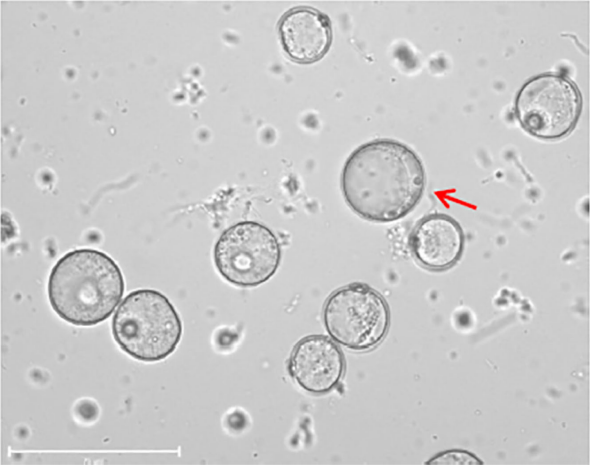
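These are isolated microspores, free round cells lying singly or touching in pairs, seen unstained. Each has a thick, smooth, sharply outlined wall. Several are large with a wide, pale, largely clear interior, and in some of them a small dark round body sits against the wall at one side. Others have more granular cytoplasm or a bright central spot. Cells vary in size, the larger ones appearing more swollen and clear. Between them the background holds small granules, scattered debris and a few fine threads, but no tissue joins the cells.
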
